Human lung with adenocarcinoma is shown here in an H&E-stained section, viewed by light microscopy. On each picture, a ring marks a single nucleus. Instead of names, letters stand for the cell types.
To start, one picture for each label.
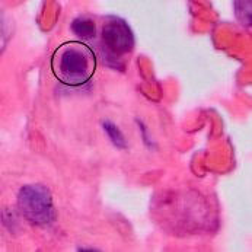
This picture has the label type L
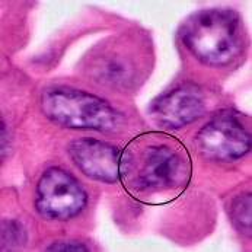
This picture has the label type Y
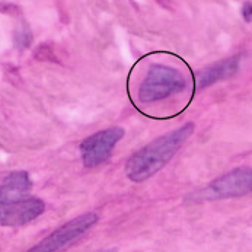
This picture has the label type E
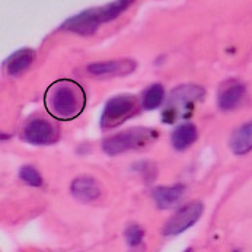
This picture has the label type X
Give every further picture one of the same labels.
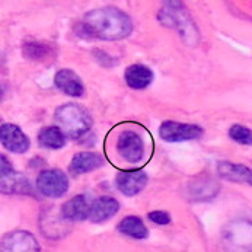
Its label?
type L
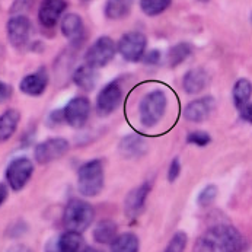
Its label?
type L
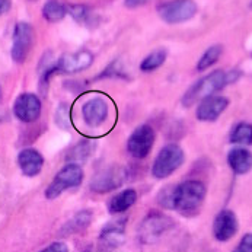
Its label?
type L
